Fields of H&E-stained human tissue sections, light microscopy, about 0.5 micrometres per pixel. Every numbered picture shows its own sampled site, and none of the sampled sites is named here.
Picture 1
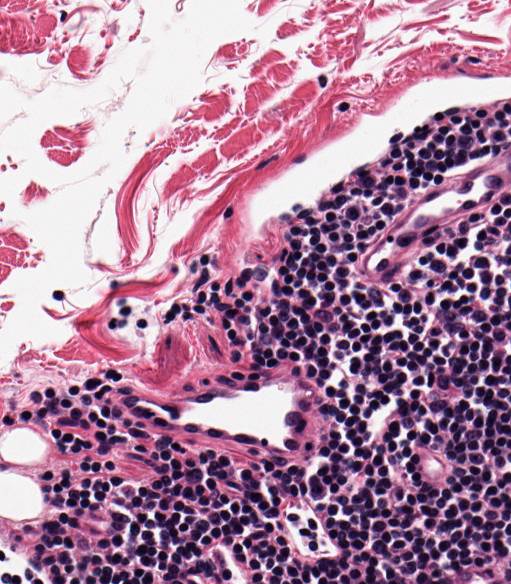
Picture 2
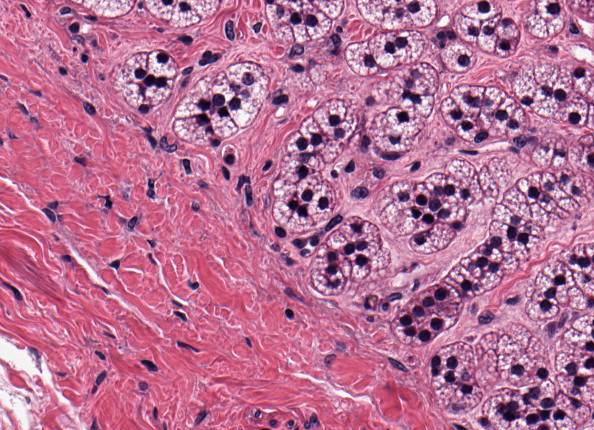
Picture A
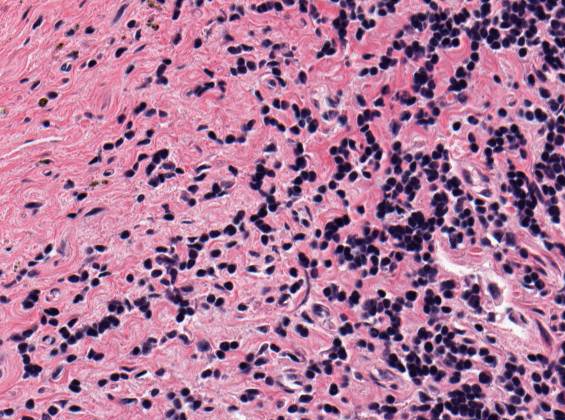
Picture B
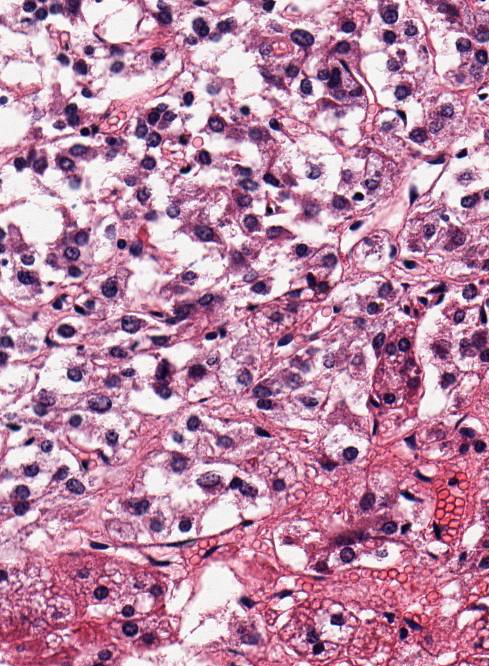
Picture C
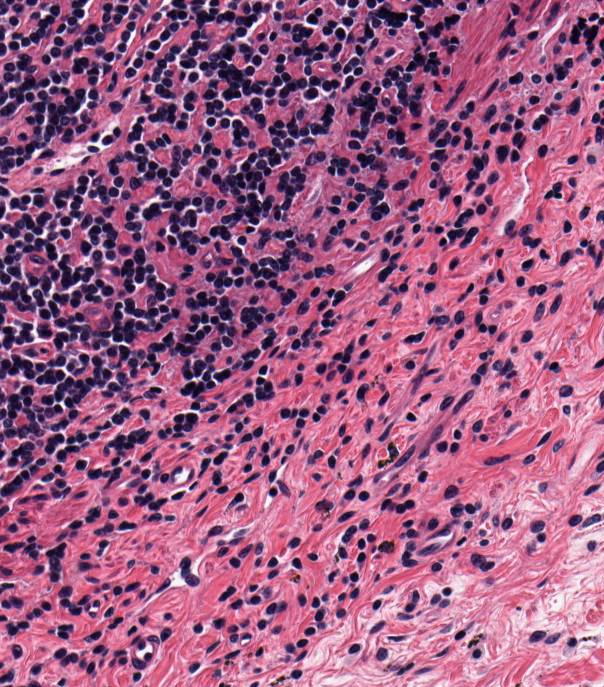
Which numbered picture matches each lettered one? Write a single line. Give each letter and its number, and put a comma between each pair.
A 1, B 2, C 1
